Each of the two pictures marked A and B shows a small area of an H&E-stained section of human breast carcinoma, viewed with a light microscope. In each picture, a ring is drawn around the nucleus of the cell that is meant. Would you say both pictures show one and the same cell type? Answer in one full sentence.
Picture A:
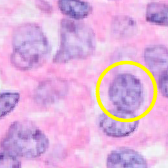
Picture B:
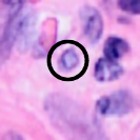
No. Picture A shows a carcinoma cell, but picture B shows an endothelial cell.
